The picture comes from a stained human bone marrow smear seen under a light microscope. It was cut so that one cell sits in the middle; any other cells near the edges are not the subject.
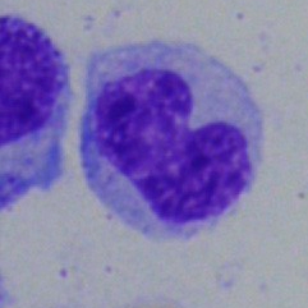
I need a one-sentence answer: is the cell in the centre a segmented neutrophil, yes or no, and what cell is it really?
No, the middle one is a band neutrophil rather than a segmented neutrophil.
